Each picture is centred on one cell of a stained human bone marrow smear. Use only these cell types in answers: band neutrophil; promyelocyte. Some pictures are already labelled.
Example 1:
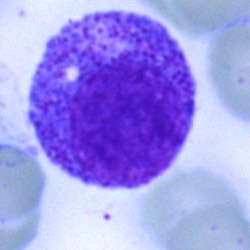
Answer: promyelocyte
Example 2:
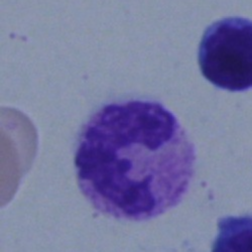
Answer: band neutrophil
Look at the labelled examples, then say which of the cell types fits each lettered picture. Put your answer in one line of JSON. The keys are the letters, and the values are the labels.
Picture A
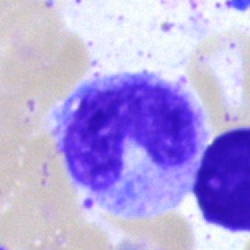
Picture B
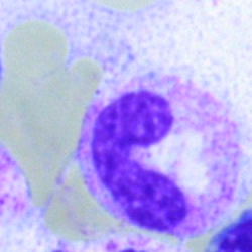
{"A": "band neutrophil", "B": "band neutrophil"}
